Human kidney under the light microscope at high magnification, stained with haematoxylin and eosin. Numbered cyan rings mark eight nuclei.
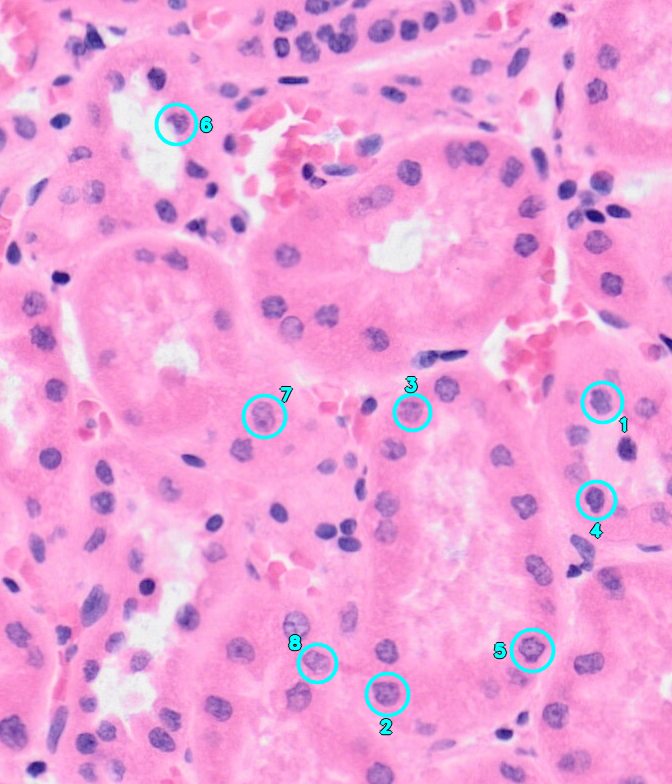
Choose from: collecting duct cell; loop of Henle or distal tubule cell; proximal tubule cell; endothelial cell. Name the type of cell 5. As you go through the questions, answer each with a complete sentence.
The cell whose nucleus carries the number 5 is a proximal tubule cell.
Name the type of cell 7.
Identified as a proximal tubule cell is the cell bearing the number 7.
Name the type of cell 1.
Numbered cell 1 is a loop of Henle or distal tubule cell in this tissue section.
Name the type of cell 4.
That cell with number 4 is a loop of Henle or distal tubule cell.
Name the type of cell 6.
The label 6 in this section denotes a loop of Henle or distal tubule cell.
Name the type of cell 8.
Cell 8 in the field is a proximal tubule cell.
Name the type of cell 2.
In this section, the cell tagged 2 is a proximal tubule cell.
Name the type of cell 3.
It is as a proximal tubule cell that the cell numbered 3 is identified.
